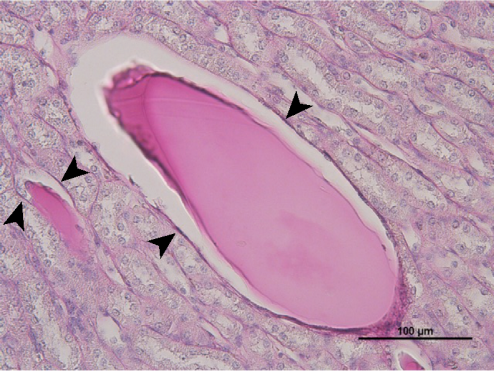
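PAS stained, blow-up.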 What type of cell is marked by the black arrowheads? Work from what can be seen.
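The arrowheads point to thin, flattened nuclei at the edge of the dilated lumen. The lining cells are much thinner than the epithelium of the neighbouring tubules.
Answer: atrophic tubular epithelium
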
